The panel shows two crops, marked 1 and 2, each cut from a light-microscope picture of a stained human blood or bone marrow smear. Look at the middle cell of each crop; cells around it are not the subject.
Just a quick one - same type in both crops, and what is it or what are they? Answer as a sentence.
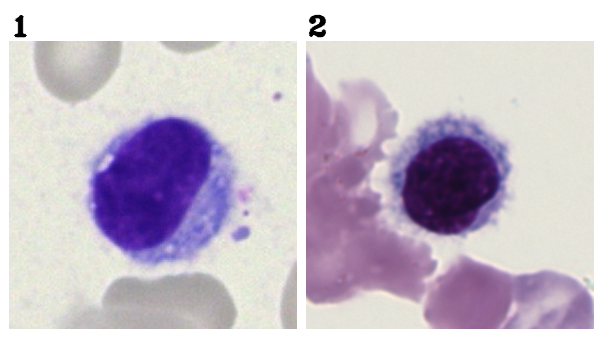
Yes, hairy cells are the central cells in the two crops.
